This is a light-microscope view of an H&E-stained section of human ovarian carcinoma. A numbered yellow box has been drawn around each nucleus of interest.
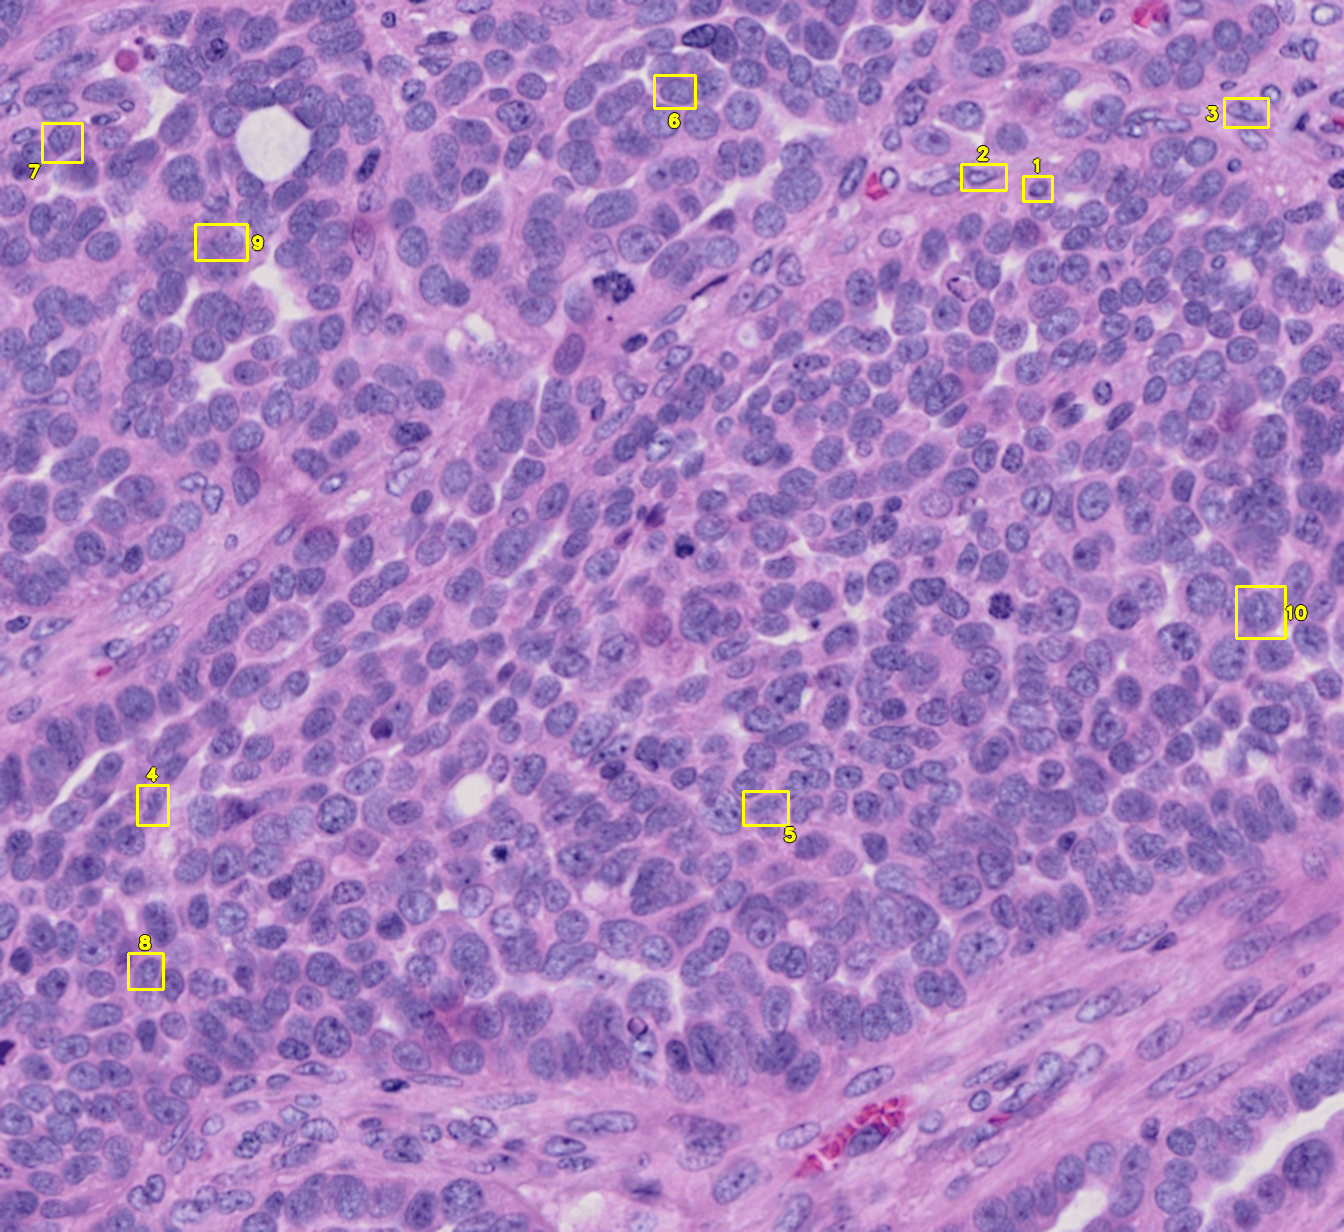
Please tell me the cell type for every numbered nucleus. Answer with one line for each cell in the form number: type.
1: macrophage or monocyte
2: fibroblast
3: fibroblast
4: macrophage or monocyte
5: carcinoma cell
6: carcinoma cell
7: carcinoma cell
8: carcinoma cell
9: carcinoma cell
10: carcinoma cell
